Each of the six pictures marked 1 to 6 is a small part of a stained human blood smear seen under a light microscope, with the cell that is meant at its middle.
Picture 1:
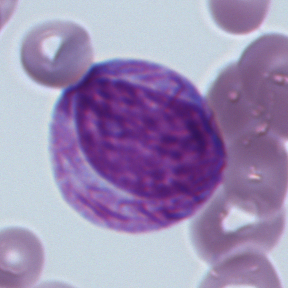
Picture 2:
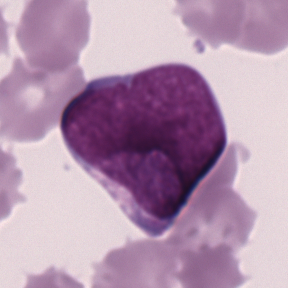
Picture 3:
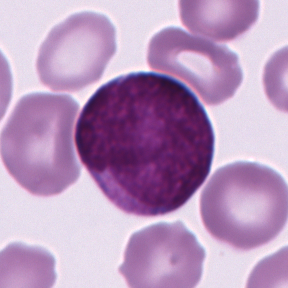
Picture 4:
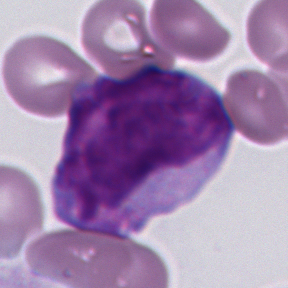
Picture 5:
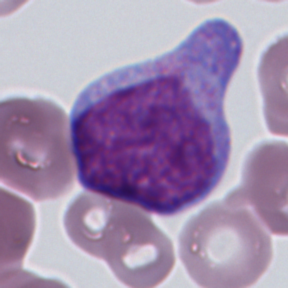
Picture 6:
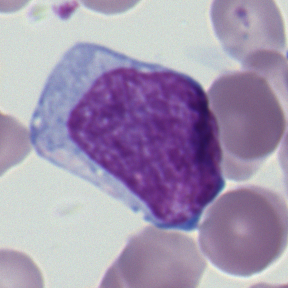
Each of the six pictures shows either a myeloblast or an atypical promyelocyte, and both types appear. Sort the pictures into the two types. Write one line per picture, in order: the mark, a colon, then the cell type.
1: atypical promyelocyte
2: myeloblast
3: myeloblast
4: atypical promyelocyte
5: atypical promyelocyte
6: myeloblast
